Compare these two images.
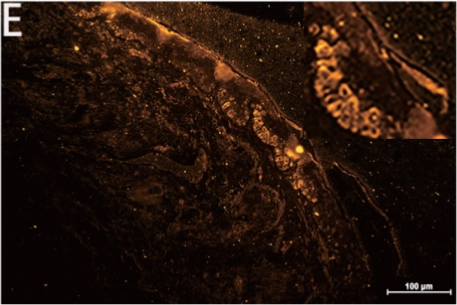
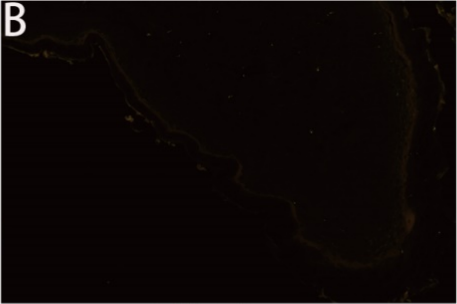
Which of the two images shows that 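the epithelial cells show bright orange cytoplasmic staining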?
the first image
